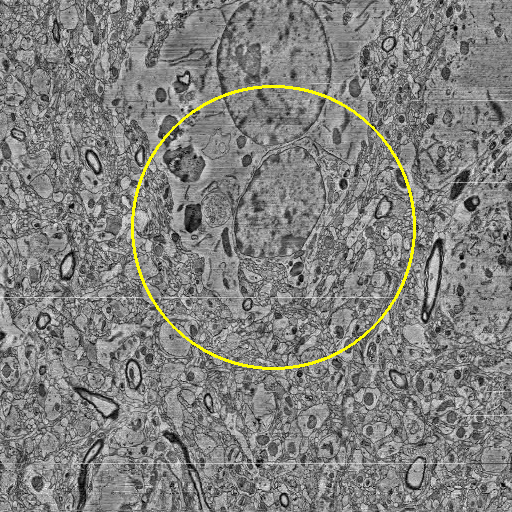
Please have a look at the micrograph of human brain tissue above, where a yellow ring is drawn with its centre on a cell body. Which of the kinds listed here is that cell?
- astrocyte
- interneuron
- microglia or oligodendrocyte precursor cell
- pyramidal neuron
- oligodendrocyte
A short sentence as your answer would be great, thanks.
At the centre of the ring sits a microglial cell or oligodendrocyte precursor cell.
